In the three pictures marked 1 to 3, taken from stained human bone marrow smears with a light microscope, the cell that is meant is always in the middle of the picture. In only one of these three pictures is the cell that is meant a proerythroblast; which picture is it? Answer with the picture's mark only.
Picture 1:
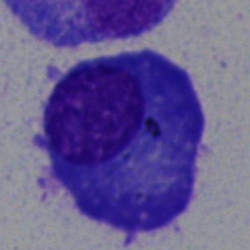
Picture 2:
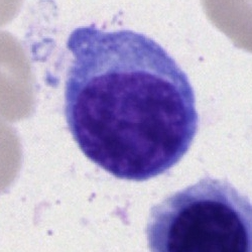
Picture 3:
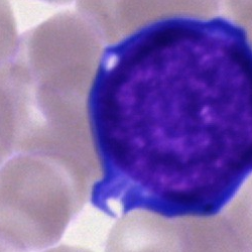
3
